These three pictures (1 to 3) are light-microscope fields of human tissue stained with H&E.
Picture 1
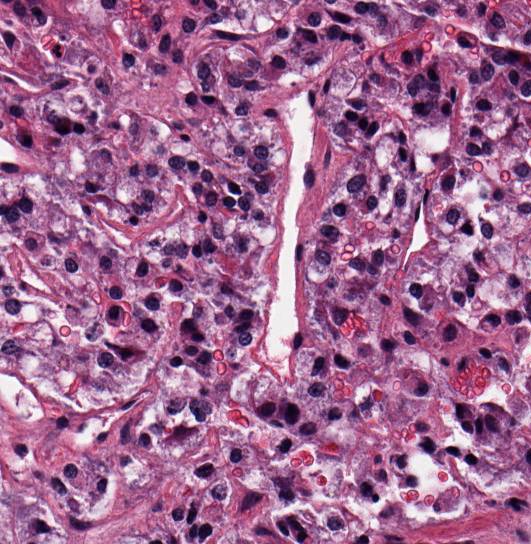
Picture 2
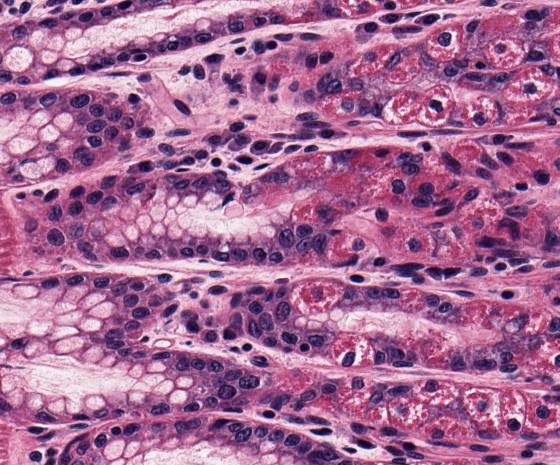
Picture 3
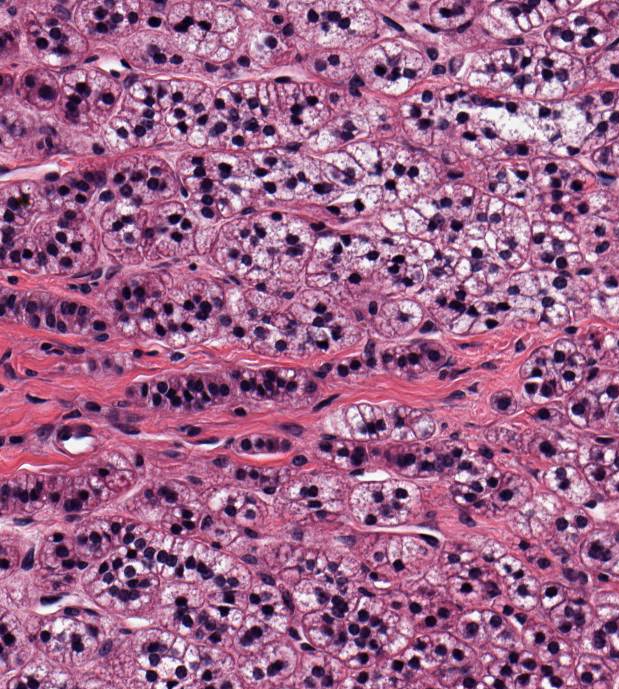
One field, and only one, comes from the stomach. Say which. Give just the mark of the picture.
2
